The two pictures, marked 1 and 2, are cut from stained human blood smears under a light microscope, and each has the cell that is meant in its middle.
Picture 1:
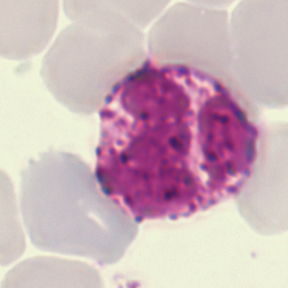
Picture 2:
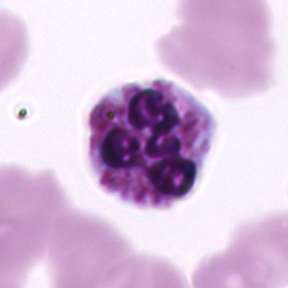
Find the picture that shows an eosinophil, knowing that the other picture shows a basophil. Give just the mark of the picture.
2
